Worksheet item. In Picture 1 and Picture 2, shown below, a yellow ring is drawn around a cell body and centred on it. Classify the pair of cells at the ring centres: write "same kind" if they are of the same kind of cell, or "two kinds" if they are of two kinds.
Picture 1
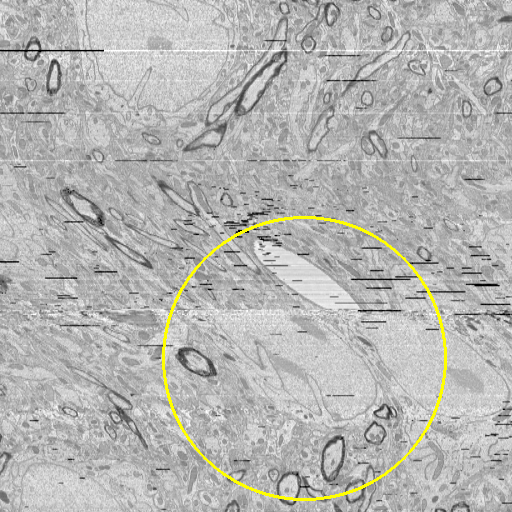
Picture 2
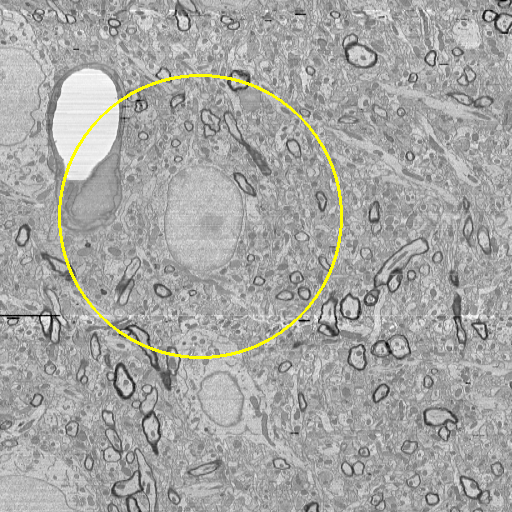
two kinds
